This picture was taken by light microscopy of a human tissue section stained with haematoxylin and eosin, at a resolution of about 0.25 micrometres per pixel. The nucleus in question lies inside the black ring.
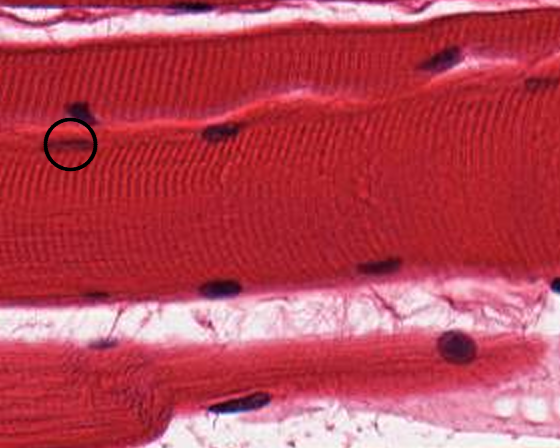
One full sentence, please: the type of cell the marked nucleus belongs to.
Within a skeletal muscle fibre lies the marked nucleus.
